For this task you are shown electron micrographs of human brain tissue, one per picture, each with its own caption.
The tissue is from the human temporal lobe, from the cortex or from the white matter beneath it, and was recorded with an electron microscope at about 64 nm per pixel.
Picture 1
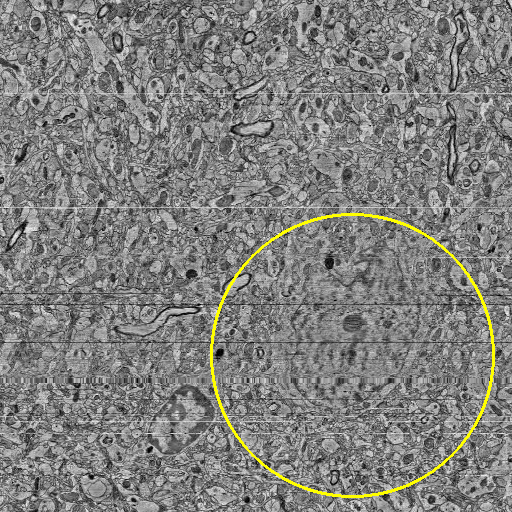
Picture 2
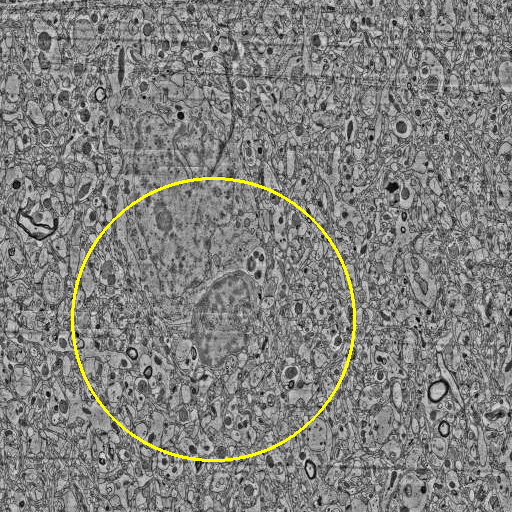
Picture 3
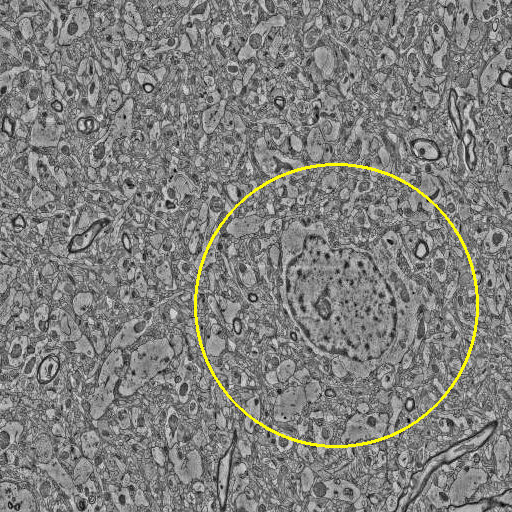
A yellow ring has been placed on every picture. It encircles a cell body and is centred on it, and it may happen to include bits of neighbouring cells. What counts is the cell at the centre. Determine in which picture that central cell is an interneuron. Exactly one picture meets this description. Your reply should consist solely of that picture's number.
1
